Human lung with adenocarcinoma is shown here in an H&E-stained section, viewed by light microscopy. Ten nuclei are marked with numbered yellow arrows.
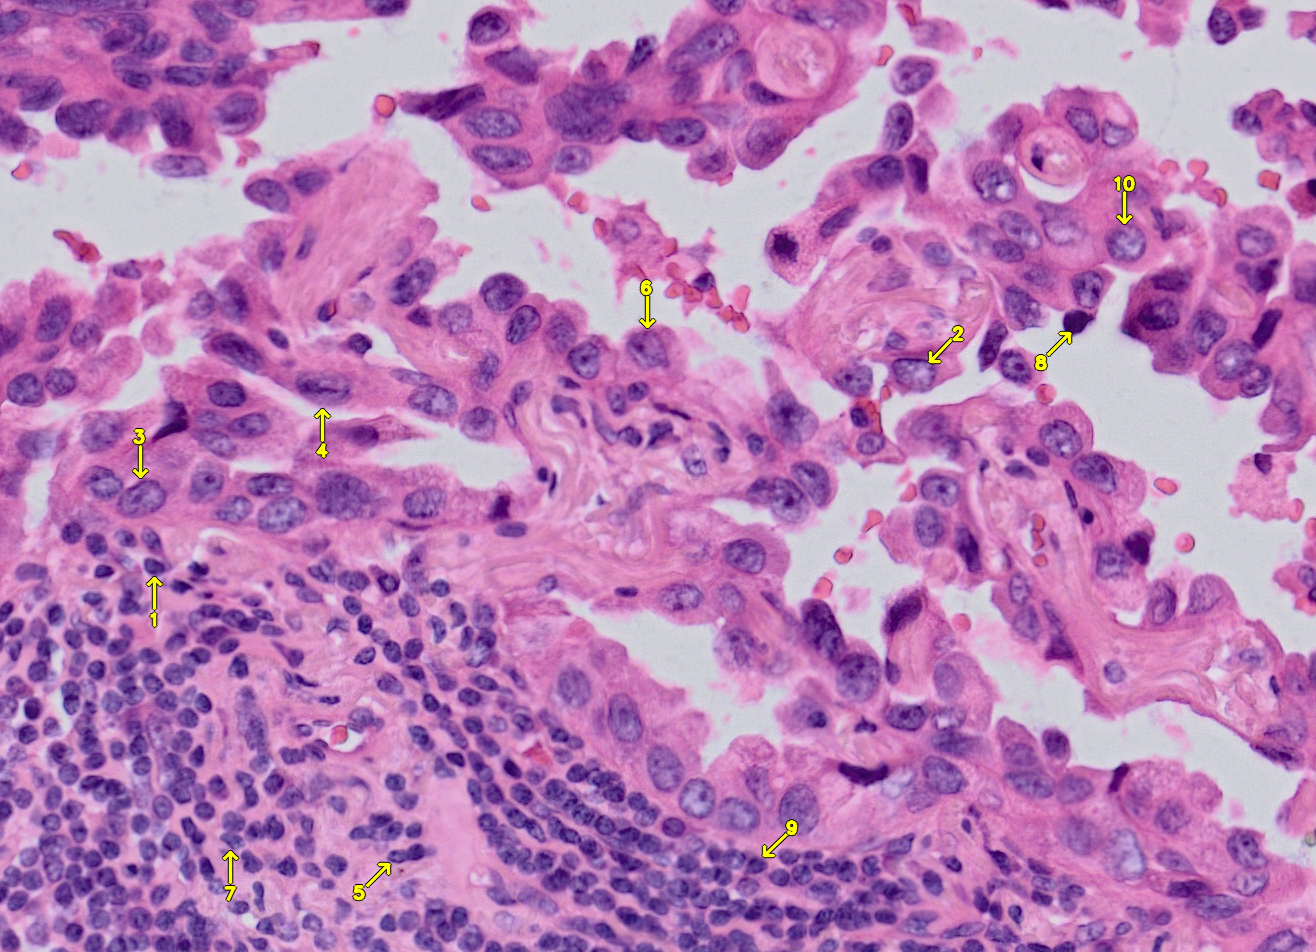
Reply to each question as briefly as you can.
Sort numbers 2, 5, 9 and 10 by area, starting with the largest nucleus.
2, 10, 9, 5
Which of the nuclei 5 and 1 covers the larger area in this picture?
1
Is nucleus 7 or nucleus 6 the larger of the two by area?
6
